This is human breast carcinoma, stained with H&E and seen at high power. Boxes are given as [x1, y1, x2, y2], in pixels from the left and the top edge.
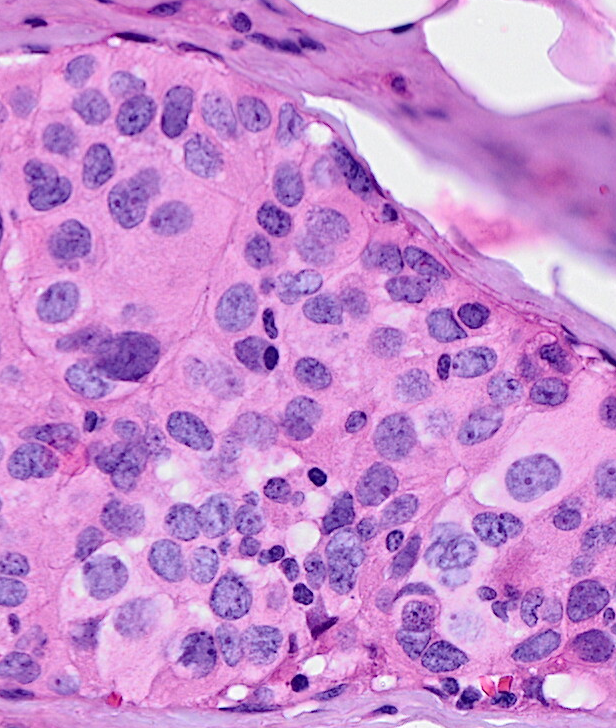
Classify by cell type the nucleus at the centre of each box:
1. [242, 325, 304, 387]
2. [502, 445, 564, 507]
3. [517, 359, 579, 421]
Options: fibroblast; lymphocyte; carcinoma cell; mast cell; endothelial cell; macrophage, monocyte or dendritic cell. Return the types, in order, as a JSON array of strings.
["lymphocyte", "carcinoma cell", "carcinoma cell"]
